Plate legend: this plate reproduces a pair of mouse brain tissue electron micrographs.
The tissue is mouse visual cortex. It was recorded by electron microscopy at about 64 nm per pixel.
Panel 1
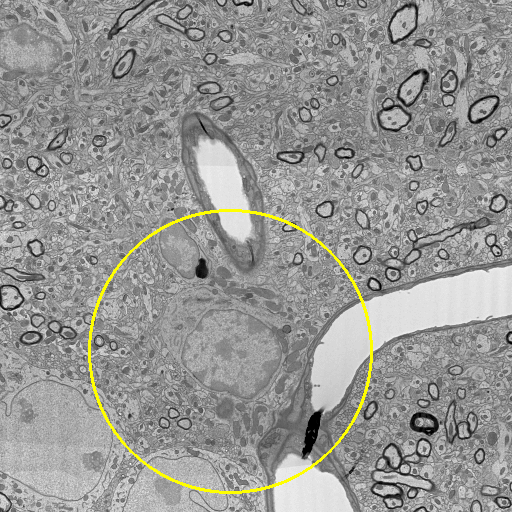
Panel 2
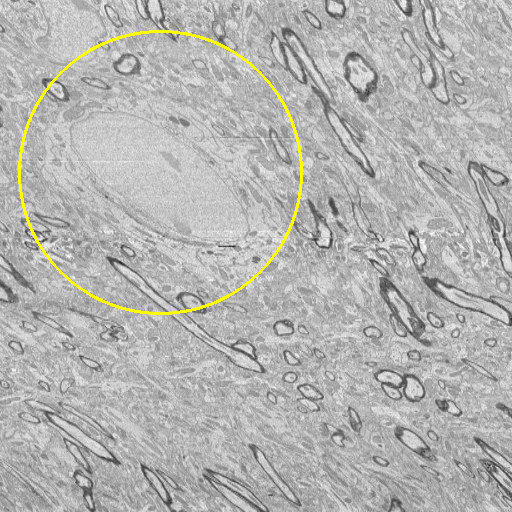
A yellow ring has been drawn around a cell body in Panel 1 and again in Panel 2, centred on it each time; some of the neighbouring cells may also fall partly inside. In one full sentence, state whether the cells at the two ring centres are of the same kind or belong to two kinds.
The ring-centred cells of Panel 1 and Panel 2 belong to two kinds.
